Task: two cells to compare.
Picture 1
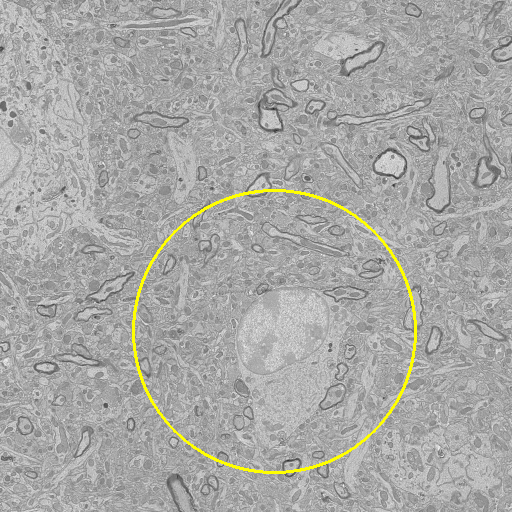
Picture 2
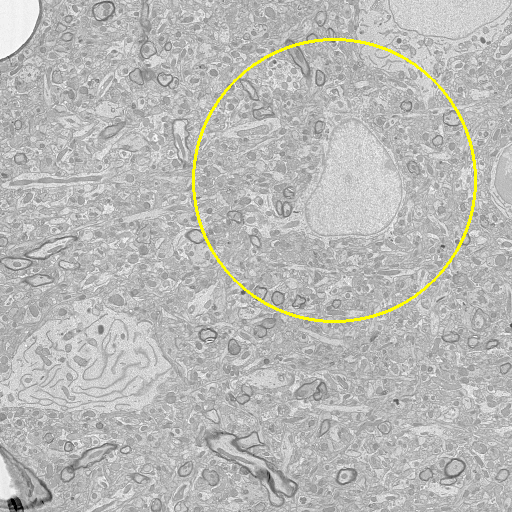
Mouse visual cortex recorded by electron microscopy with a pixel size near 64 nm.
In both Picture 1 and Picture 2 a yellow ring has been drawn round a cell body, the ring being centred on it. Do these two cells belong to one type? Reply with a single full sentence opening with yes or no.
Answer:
No, the two cells at the ring centres in Picture 1 and Picture 2 are of two types.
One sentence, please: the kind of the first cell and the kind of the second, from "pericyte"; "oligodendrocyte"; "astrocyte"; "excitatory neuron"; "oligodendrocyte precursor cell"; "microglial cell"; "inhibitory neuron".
The ring in the first picture surrounds an oligodendrocyte, and the ring in the second surrounds an astrocyte.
